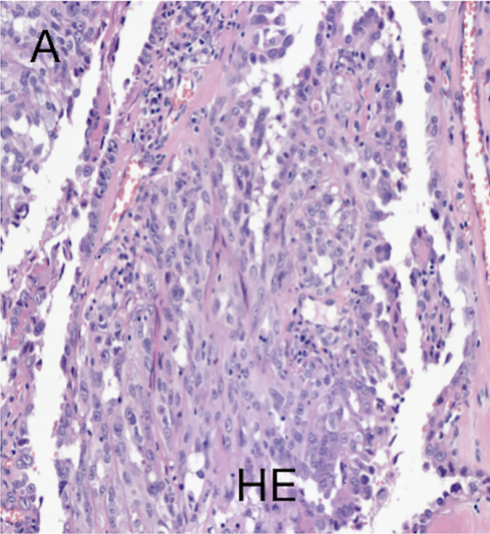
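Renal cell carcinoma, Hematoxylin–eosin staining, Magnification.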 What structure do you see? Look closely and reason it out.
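Papillary and tubular structures. Tumour cells line fibrovascular cores projecting into spaces. Some cells form small gland-like lumina. Pink stromal cores carry red blood cells.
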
